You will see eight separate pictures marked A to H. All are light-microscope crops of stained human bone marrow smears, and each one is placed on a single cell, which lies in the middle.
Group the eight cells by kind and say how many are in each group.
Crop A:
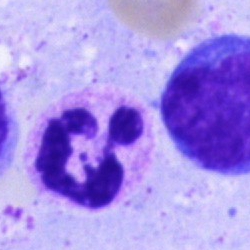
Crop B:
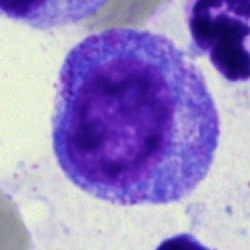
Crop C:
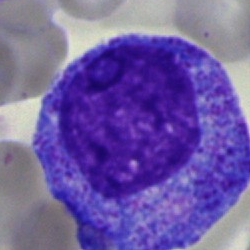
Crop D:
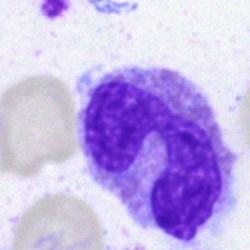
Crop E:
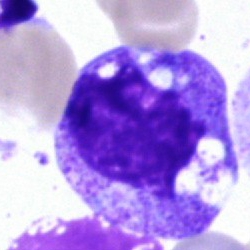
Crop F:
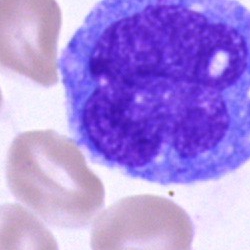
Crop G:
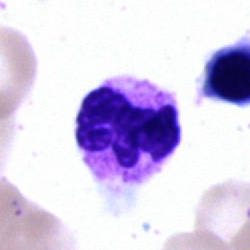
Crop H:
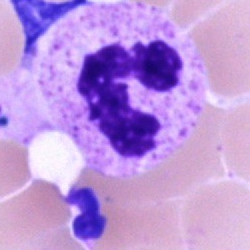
segmented neutrophil: 3
promyelocyte: 3
monocyte: 2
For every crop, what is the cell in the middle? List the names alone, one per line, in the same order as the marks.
segmented neutrophil
promyelocyte
promyelocyte
monocyte
promyelocyte
monocyte
segmented neutrophil
segmented neutrophil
